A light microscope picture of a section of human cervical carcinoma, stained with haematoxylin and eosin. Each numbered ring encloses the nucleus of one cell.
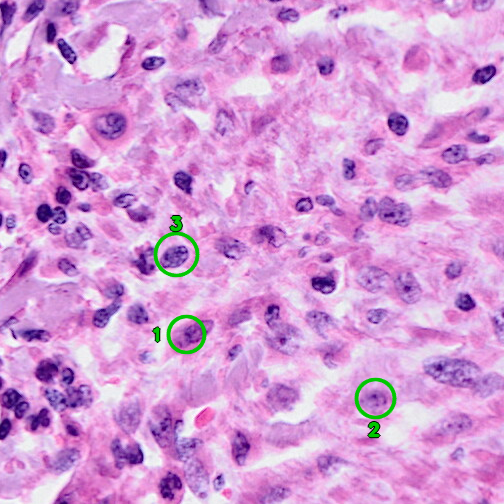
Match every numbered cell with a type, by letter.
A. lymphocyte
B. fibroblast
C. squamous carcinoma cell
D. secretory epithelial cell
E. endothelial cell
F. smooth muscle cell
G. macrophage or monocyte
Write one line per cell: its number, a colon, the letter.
1: G
2: B
3: A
